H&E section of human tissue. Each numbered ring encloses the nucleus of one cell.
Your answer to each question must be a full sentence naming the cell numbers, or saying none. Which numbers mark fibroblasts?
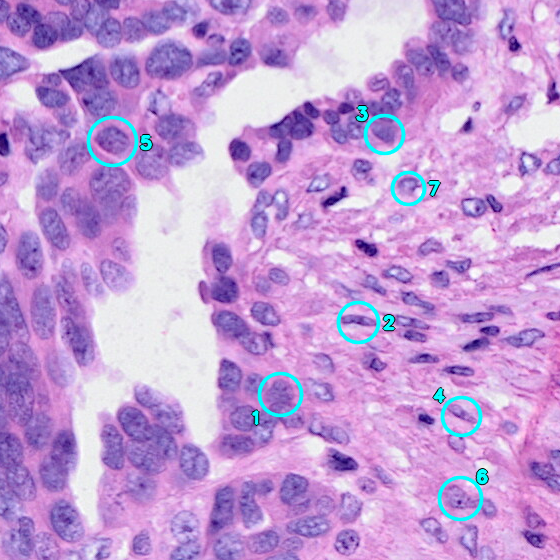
The cells bearing the numbers 2, 4, 6 and 7 are fibroblasts.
